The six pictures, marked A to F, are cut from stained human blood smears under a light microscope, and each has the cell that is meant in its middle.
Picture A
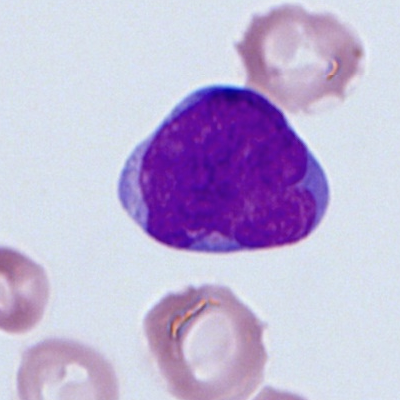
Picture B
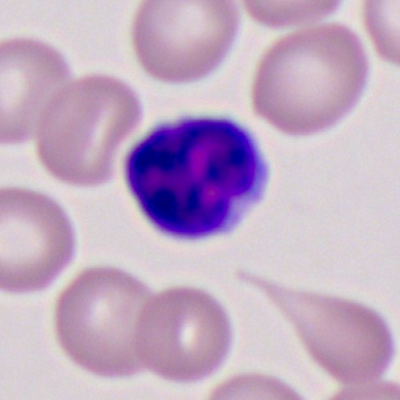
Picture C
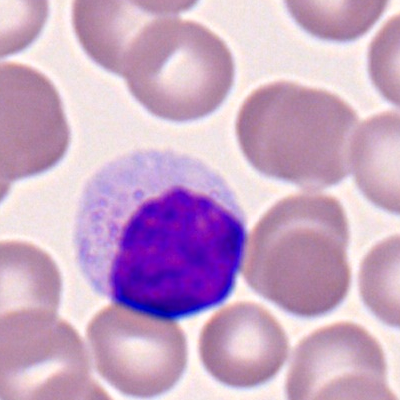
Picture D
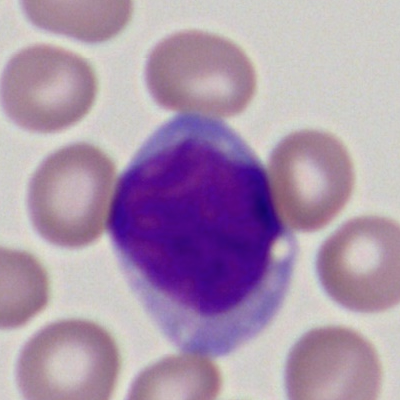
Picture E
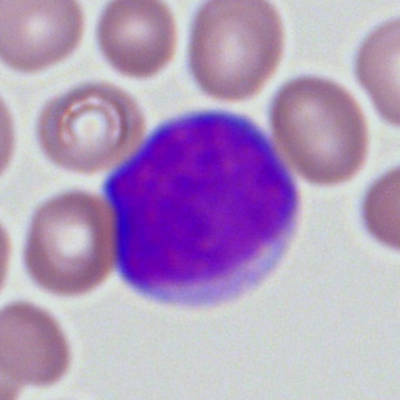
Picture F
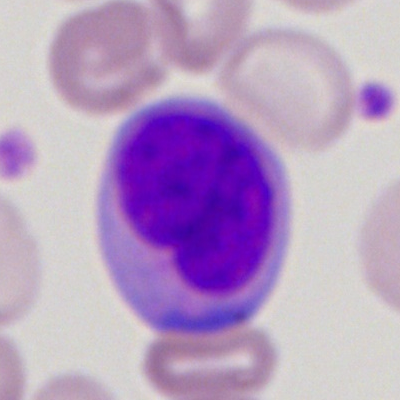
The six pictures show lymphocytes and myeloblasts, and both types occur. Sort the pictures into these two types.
A: myeloblast
B: lymphocyte
C: lymphocyte
D: myeloblast
E: myeloblast
F: myeloblast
